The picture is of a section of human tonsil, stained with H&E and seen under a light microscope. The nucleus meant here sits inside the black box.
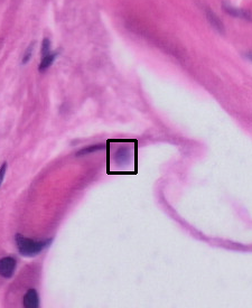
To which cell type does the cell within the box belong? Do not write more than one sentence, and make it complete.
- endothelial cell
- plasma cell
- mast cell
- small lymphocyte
The identity of the cell within the box is that of an endothelial cell.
